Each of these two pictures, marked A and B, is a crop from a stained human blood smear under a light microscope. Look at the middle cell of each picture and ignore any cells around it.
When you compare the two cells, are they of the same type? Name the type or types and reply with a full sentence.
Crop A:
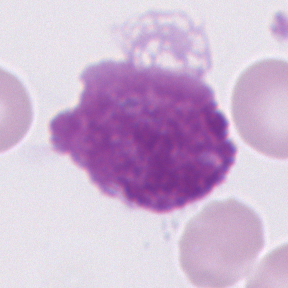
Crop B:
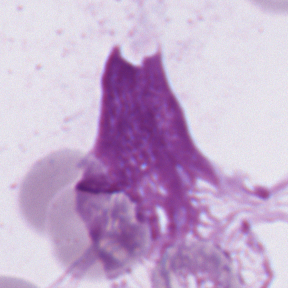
Yes, smudge cells occupy the centre of both crops.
